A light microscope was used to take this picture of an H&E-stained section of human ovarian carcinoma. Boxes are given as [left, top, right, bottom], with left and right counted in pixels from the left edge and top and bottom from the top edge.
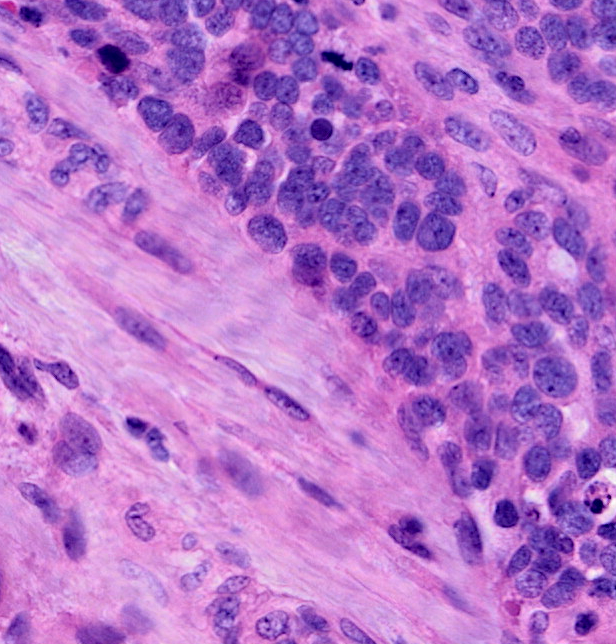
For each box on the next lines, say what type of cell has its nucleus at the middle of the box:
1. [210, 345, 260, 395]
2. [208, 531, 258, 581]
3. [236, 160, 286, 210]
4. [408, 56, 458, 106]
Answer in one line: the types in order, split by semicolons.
fibroblast; fibroblast; carcinoma cell; fibroblast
